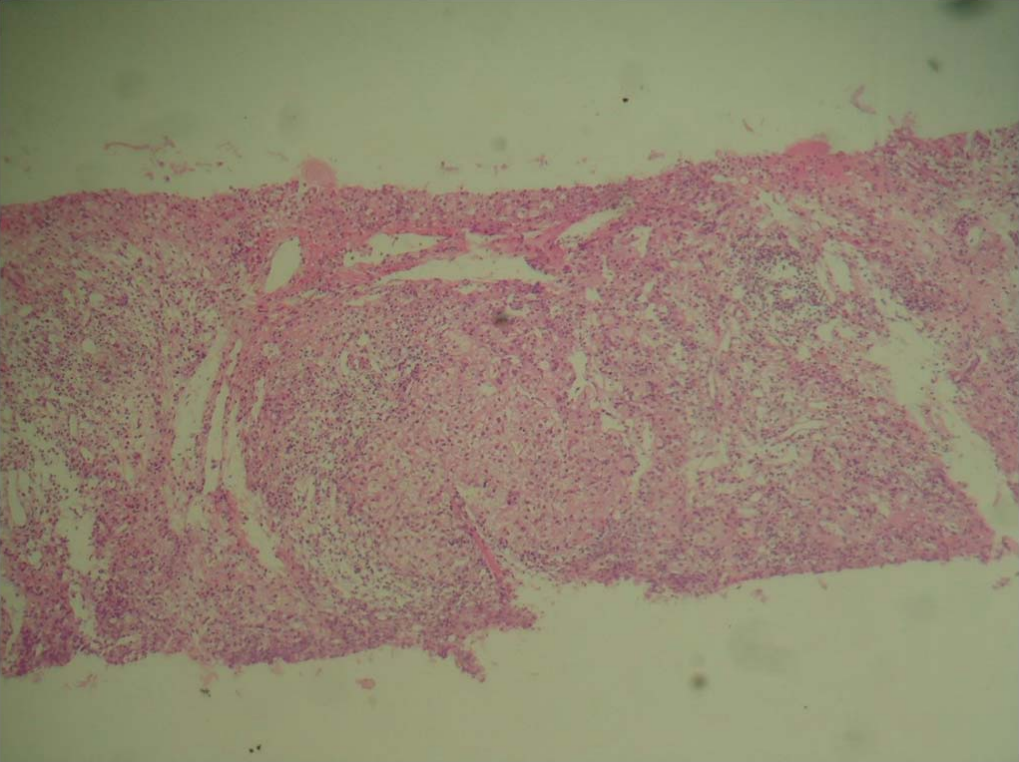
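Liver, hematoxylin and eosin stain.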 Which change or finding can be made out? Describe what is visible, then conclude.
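Inflammation. Dense sheets of small, dark, round nuclei fill much of the tissue core. The crowded small cells are spread through the parenchyma rather than confined to one spot.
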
